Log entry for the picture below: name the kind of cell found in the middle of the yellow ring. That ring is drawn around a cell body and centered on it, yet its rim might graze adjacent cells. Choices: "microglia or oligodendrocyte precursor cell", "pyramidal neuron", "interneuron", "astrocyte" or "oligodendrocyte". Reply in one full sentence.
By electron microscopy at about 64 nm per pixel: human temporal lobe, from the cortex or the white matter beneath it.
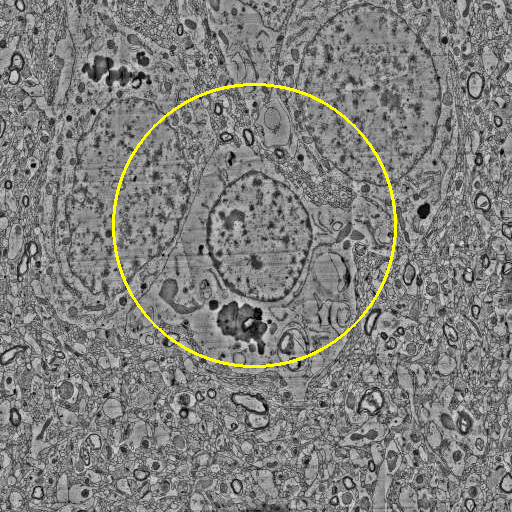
The cell in the middle of the yellow ring in this picture is an astrocyte.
